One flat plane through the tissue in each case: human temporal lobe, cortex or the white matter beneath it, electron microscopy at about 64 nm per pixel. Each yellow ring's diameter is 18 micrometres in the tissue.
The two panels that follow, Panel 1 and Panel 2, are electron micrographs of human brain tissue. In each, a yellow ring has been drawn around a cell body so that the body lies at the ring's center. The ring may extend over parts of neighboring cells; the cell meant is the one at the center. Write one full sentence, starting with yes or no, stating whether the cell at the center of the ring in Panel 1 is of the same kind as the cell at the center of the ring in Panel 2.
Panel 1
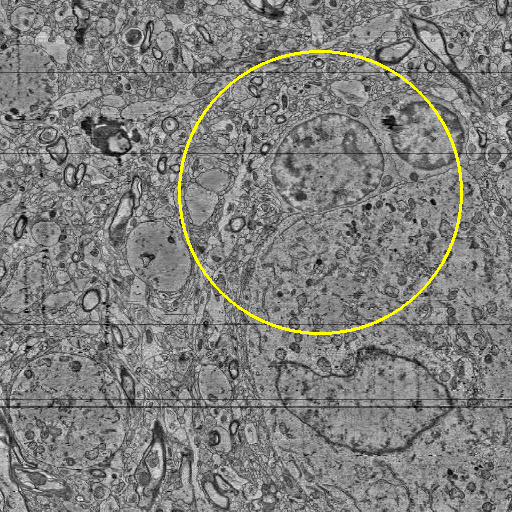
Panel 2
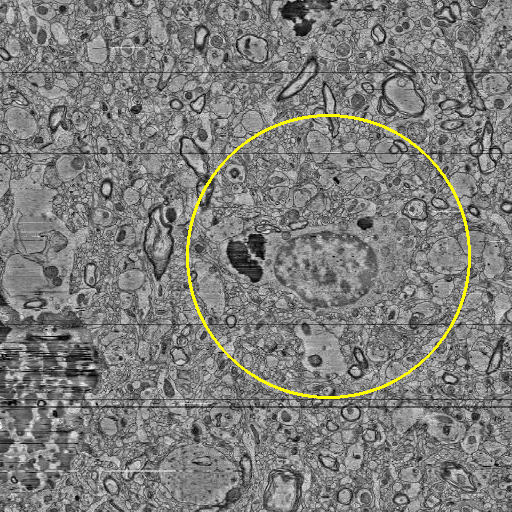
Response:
Yes, the cells in both panels are of the same kind.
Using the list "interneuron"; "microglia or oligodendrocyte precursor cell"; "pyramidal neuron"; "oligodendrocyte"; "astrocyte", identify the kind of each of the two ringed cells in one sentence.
In both pictures the ring is centred on an oligodendrocyte.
